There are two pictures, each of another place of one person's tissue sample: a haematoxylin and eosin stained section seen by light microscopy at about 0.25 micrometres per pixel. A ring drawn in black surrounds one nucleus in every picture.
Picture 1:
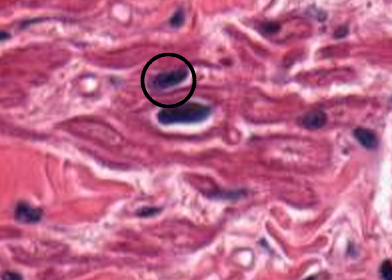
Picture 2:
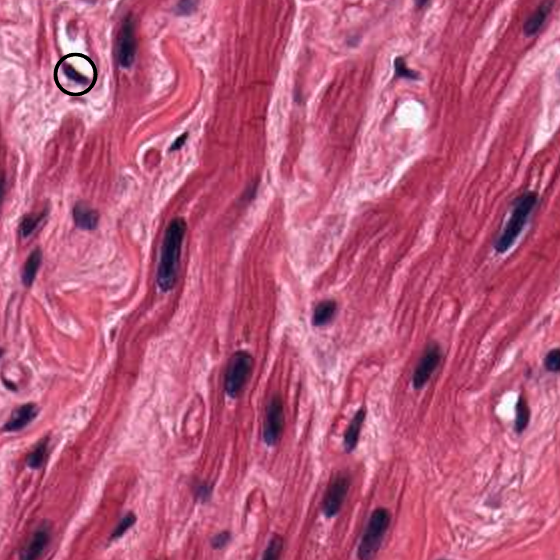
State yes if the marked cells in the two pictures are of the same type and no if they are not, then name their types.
No, the first is a cardiomyocyte and the second an endothelial cell.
